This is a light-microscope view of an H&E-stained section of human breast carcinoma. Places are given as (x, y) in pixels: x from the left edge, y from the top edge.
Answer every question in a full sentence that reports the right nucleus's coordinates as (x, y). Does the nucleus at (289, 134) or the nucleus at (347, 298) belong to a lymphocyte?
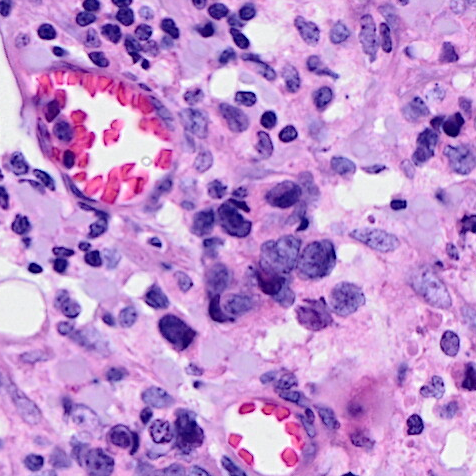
The nucleus whose cell is a lymphocyte is the one at (289, 134).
